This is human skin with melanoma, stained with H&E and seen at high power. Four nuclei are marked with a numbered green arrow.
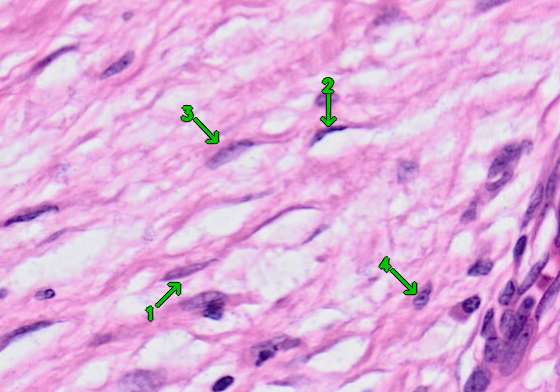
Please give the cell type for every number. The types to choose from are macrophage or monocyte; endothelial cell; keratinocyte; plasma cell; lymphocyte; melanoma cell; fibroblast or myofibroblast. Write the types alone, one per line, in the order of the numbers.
fibroblast or myofibroblast
fibroblast or myofibroblast
fibroblast or myofibroblast
macrophage or monocyte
